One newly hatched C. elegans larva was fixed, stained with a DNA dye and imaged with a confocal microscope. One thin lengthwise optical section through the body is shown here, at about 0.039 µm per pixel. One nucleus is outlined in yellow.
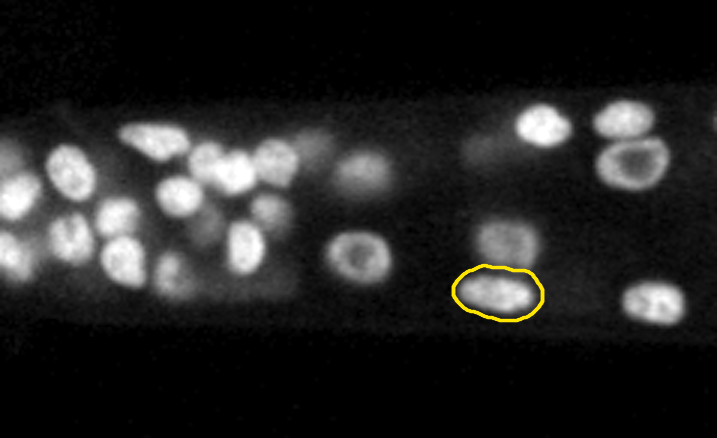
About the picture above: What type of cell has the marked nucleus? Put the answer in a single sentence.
It belongs to a body wall muscle cell.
